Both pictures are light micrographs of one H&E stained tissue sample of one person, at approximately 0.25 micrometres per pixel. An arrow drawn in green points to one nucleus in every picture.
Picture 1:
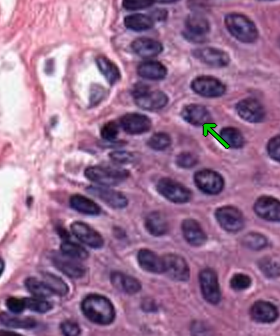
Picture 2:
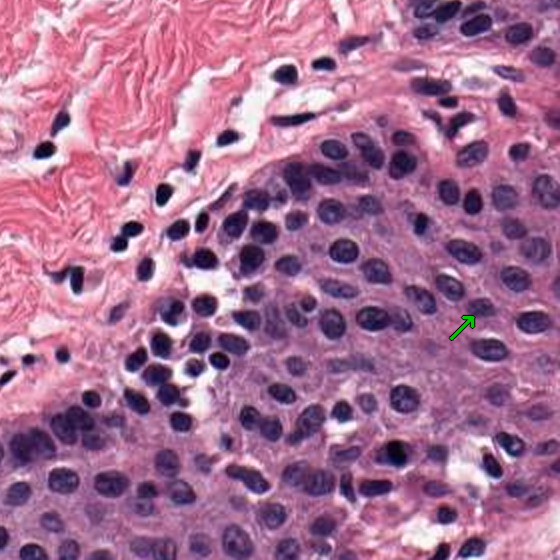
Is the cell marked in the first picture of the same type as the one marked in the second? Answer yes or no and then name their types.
Yes, both are squamous epithelial cells.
